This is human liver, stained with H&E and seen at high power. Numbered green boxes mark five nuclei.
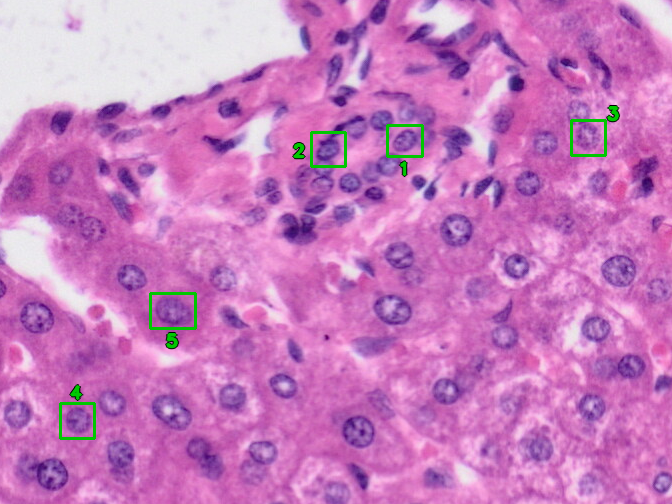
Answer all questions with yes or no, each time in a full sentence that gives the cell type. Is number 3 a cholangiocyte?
No, cell 3 should be read as a hepatocyte instead of a cholangiocyte.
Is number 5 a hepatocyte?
Yes, in the section, number 5 is a hepatocyte.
